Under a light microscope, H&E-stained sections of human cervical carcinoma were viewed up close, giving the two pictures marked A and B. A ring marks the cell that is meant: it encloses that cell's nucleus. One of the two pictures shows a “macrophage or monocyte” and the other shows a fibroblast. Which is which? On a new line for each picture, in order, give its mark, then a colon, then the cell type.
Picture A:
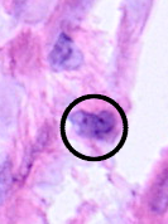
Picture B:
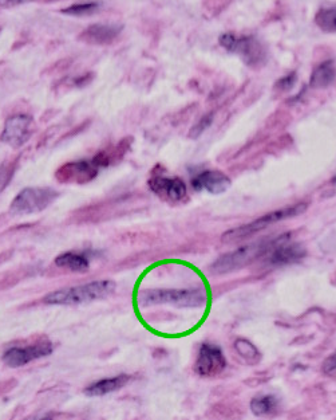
A: macrophage or monocyte
B: fibroblast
